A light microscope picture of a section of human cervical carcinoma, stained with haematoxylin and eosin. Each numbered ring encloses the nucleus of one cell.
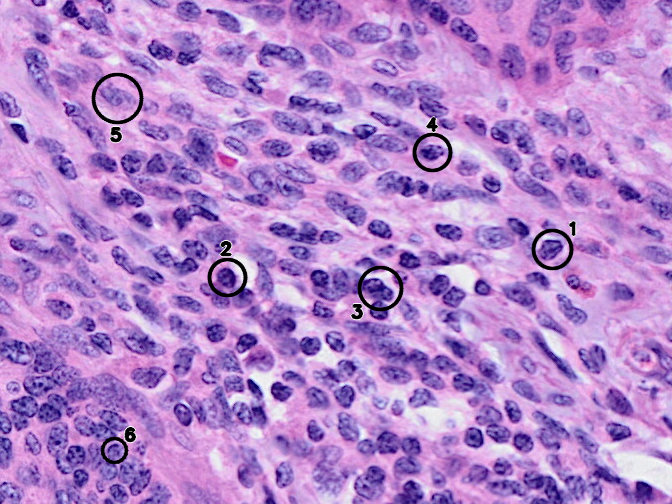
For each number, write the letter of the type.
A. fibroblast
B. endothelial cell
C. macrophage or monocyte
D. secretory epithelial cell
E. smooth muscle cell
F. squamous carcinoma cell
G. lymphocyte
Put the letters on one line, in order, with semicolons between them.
G; G; G; G; B; F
